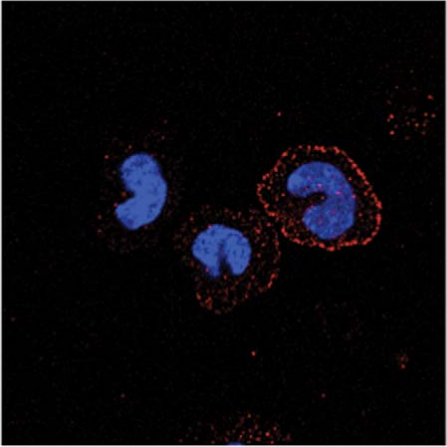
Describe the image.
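Three separate monocytes are seen, each with one blue nucleus that is indented, kidney- or horseshoe-shaped, and occupies much of the cell. Around each nucleus lies a thin rim of cytoplasm that is largely free of red. The red dots are arranged mainly along the outer edge of each cell, forming a fine dotted ring that outlines the cell surface; this ring is clearest around the cell at the right. Only a few red dots lie over the nuclei or in the inner cytoplasm, and small clusters of red specks lie in the dark background.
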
